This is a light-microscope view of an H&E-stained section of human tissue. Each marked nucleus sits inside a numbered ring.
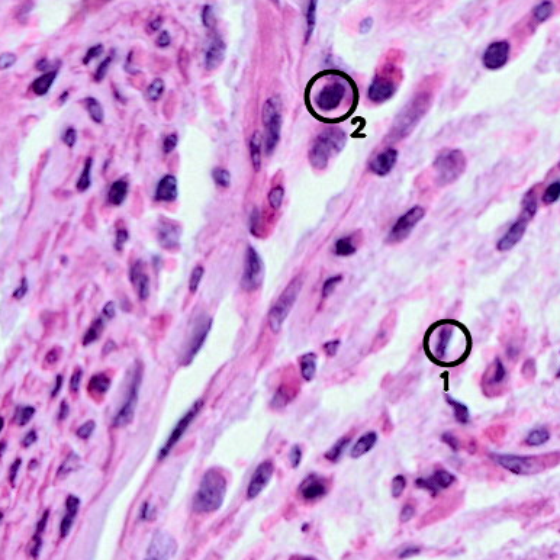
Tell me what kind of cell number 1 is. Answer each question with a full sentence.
The cell tagged with 1 in this tissue section is a fibroblast.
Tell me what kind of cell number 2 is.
The cell indicated by marker 2 is a lymphocyte in this section.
